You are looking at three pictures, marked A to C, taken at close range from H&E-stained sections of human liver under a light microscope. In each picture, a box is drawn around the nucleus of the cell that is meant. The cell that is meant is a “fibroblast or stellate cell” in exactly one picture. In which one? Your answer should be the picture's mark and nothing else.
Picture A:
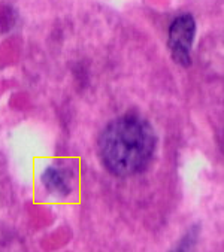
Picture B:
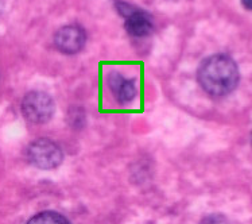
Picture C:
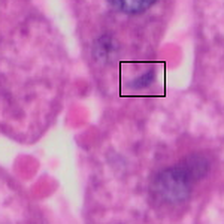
C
